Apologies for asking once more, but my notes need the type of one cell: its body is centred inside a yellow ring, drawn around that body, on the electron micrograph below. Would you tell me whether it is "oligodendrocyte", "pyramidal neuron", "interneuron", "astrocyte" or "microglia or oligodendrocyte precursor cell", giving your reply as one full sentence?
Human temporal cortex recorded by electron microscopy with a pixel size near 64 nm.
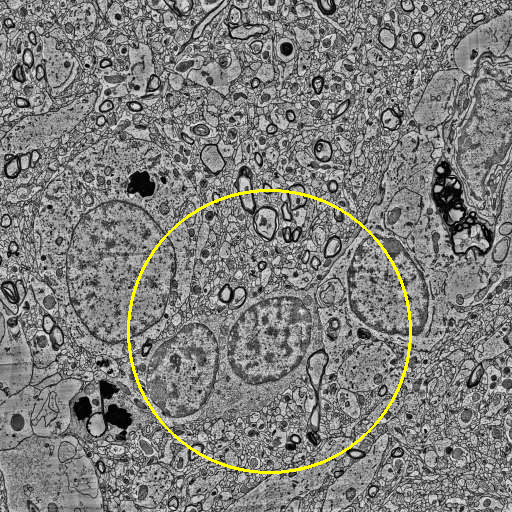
The cell that the yellow ring is centred on is an oligodendrocyte in this micrograph.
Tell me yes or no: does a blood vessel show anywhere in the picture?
Yes, there is a blood vessel in the image.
